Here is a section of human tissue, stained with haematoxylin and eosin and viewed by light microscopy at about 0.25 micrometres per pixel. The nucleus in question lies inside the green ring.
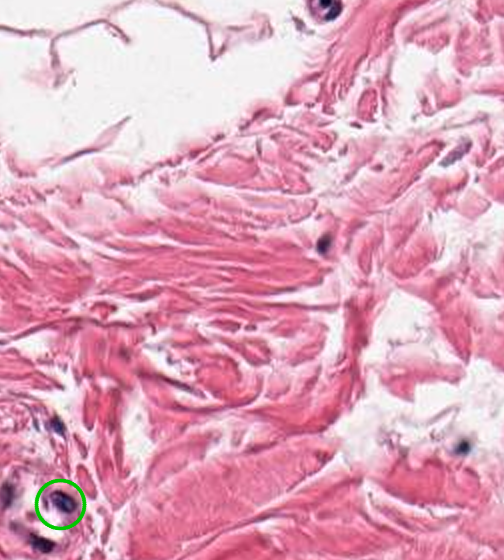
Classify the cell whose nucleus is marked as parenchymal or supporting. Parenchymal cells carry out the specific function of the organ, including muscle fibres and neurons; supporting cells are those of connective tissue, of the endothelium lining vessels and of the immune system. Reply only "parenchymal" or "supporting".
supporting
